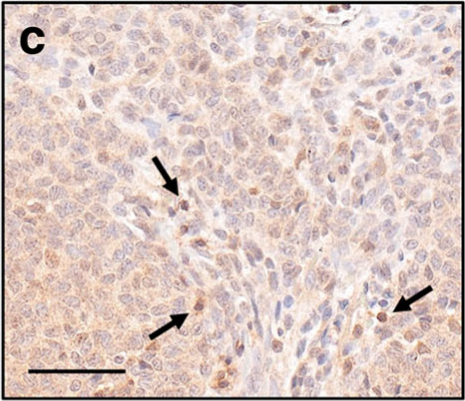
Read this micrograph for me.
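Tumor tissue of closely packed cells with oval blue nuclei, crossed by a band of elongated spindle-shaped cells. Brown staining is uneven, strong in some areas of tumor cells and pale or absent in the spindle-cell band. Arrows mark small, dark brown round nuclei scattered among blue ones.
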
